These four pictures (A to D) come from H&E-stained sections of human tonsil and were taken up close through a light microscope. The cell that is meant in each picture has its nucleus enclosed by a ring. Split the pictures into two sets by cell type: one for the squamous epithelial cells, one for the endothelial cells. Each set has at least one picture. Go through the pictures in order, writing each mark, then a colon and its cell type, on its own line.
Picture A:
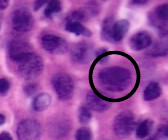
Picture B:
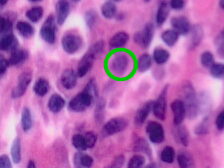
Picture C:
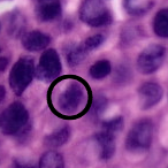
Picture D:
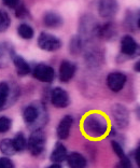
A: squamous epithelial cell
B: endothelial cell
C: squamous epithelial cell
D: endothelial cell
